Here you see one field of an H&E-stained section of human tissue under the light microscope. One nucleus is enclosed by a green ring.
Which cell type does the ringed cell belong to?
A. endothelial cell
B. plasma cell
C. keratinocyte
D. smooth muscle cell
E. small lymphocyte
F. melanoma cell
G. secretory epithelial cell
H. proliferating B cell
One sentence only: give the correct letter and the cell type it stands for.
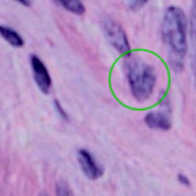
In the section, the ringed cell is a smooth muscle cell, and option D is correct accordingly.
